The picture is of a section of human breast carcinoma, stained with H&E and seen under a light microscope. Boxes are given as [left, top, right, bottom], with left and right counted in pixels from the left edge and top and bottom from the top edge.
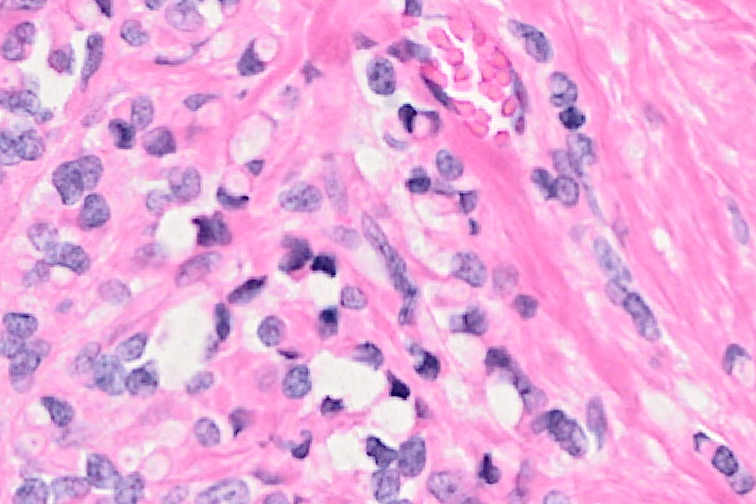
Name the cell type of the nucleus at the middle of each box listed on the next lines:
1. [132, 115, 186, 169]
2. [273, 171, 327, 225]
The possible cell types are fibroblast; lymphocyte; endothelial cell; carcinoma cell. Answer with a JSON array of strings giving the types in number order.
["carcinoma cell", "endothelial cell"]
